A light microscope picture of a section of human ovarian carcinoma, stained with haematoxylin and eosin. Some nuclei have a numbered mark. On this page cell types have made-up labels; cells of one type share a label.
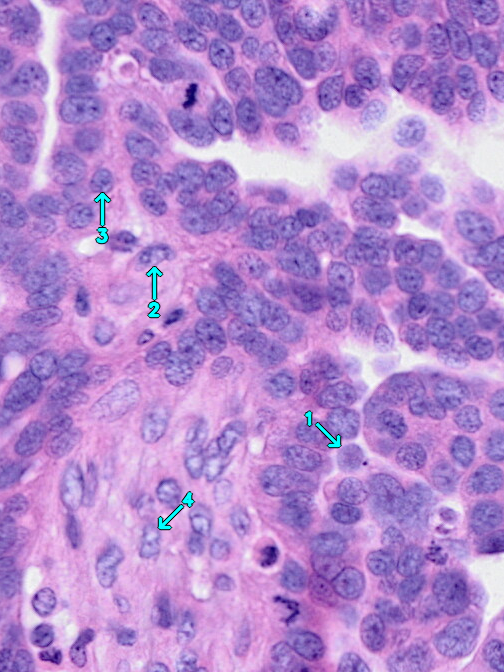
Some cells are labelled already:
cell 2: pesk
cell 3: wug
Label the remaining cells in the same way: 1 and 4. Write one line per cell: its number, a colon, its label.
1: wug
4: pesk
